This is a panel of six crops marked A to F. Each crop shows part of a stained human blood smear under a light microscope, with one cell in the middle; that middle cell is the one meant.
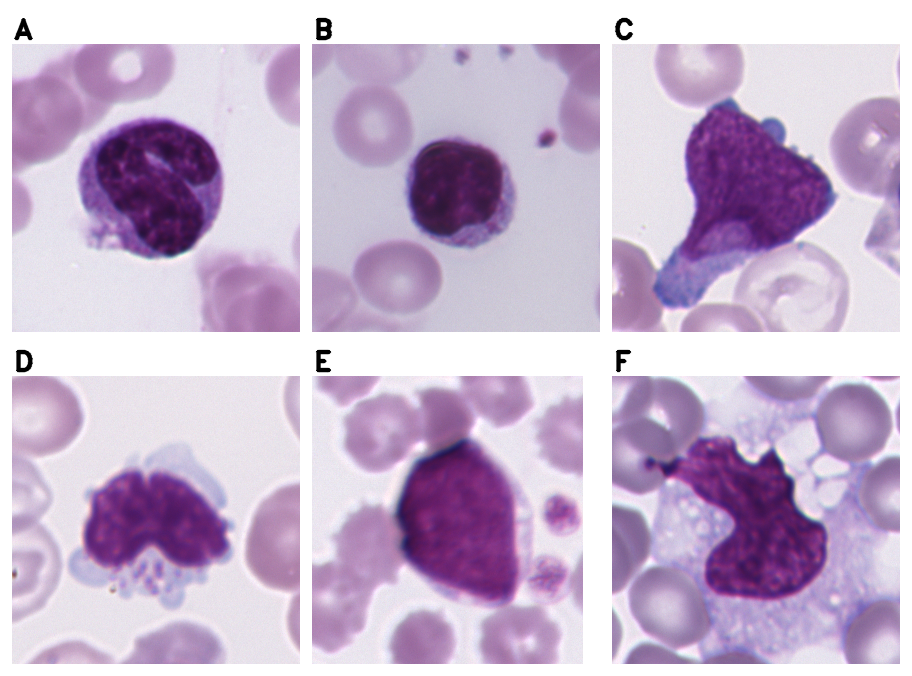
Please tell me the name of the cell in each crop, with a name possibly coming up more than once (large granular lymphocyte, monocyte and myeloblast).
A: monocyte
B: large granular lymphocyte
C: myeloblast
D: large granular lymphocyte
E: myeloblast
F: monocyte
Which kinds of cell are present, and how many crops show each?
monocyte: 2
large granular lymphocyte: 2
myeloblast: 2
